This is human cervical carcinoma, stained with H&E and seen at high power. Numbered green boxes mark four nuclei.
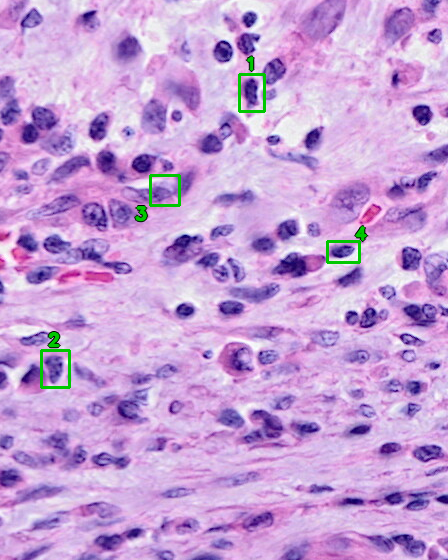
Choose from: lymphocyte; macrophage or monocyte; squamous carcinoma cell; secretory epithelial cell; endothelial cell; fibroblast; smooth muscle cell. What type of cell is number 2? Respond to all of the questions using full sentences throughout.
The correct answer for cell 2 is a lymphocyte.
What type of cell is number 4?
The nucleus labeled 4 belongs to a lymphocyte.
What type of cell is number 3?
The cell referred to as 3 is an endothelial cell.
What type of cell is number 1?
The nucleus labelled 1 belongs to a lymphocyte.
